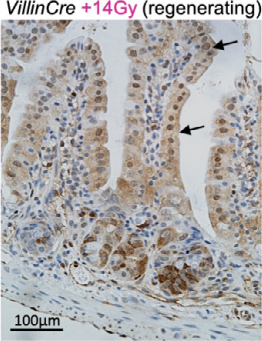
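Small intestinal mucosa with tall villi above crypts at the base, each villus covered by a single layer of columnar epithelial cells around a core of lamina propria with small blue nuclei. Along the villi, many epithelial nuclei are stained brown rather than blue, and the brown continues up toward the villus tips, where arrows mark stained nuclei. In the crypts the epithelial cells stain intensely brown. The cores of the villi and the tissue beneath the crypts show mostly blue nuclei.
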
